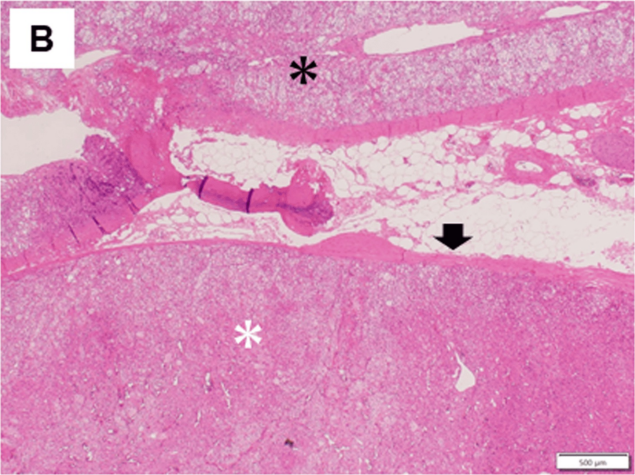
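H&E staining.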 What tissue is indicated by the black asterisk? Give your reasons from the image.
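Normal adrenal gland. A band of pale, finely vacuolated tissue lies above the lower mass. It is separated from the lower tissue by fat and a thin pink band.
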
